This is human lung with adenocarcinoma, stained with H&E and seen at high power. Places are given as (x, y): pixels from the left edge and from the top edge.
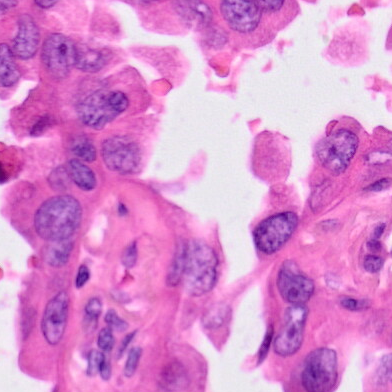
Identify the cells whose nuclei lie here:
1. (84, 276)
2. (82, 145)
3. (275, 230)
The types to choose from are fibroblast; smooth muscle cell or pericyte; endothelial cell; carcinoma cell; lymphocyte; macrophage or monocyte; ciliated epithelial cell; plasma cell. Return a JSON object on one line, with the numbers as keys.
{"1": "lymphocyte", "2": "carcinoma cell", "3": "carcinoma cell"}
